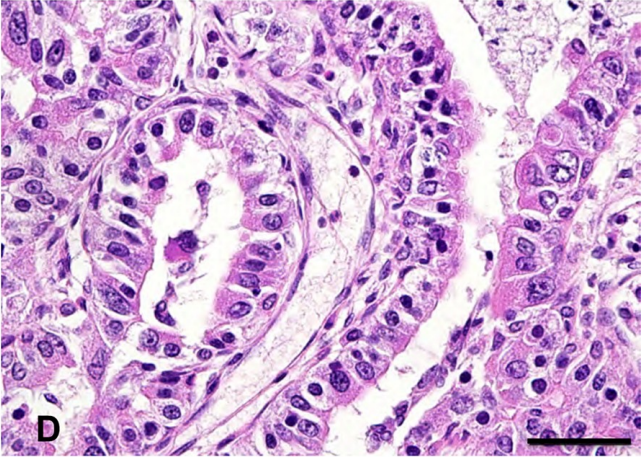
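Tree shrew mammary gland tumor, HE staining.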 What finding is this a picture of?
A: tubulopapillary carcinoma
